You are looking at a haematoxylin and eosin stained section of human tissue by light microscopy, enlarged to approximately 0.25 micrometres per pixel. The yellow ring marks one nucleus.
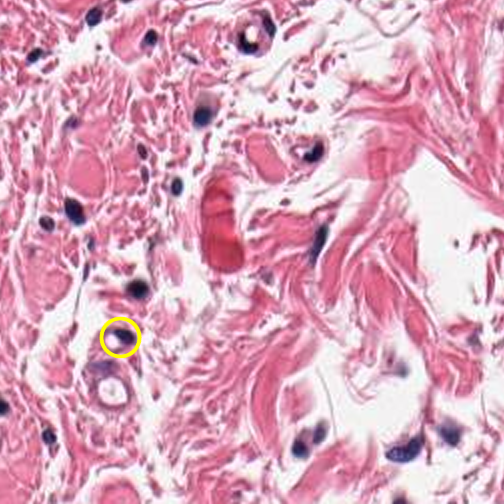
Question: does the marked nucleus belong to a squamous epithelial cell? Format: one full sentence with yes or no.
No, the marked nucleus is part of a supporting cell and does not belong to a squamous epithelial cell.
